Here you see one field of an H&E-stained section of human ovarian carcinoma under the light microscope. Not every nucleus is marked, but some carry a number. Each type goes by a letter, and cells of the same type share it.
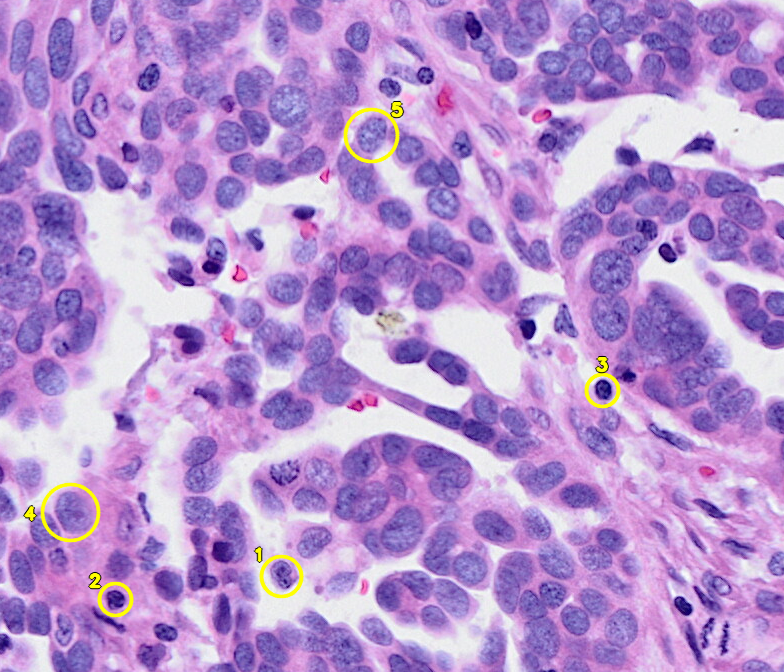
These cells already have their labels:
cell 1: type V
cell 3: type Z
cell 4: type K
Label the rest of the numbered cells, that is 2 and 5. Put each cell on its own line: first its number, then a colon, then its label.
2: type Z
5: type K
